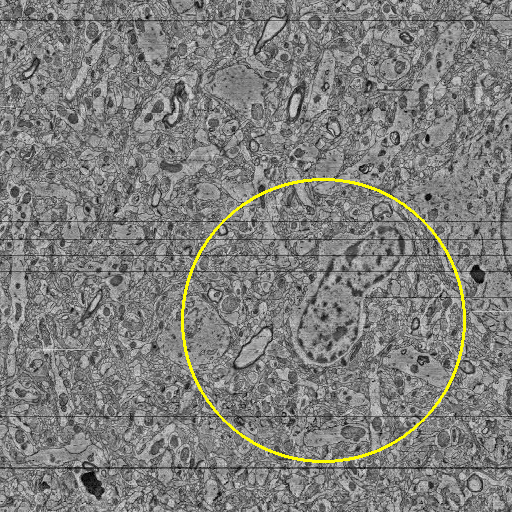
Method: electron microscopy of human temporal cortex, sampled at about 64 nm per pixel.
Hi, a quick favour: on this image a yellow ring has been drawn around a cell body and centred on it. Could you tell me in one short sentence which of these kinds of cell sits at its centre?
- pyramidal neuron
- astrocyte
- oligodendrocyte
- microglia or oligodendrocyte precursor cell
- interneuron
The ring is centred on a microglial cell or oligodendrocyte precursor cell.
